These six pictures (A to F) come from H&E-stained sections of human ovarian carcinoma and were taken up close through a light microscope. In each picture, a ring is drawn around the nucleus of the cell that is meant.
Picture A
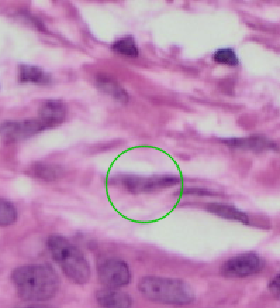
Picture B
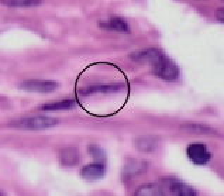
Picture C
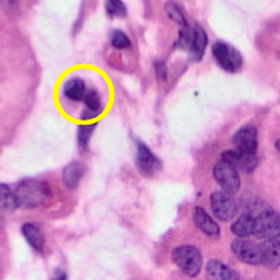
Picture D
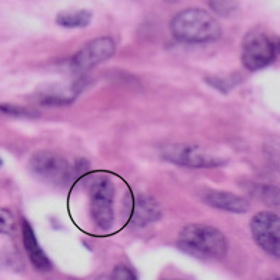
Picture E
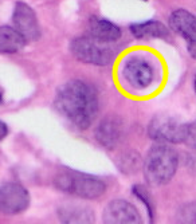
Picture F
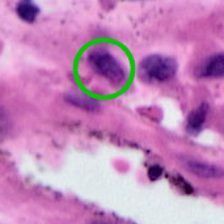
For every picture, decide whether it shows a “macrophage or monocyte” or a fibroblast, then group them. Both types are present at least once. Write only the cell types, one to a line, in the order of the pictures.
fibroblast
fibroblast
macrophage or monocyte
macrophage or monocyte
macrophage or monocyte
fibroblast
